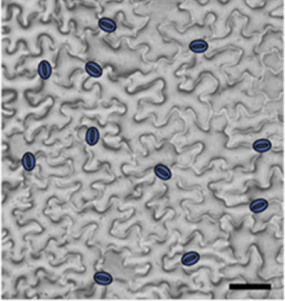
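Small oval stomata, coloured blue, lie scattered among them, each formed by a pair of guard cells around a central slit-shaped pore. The stomata stand well apart from one another, separated by several pavement cells.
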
